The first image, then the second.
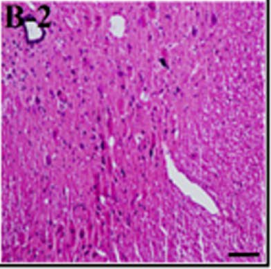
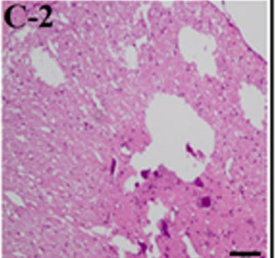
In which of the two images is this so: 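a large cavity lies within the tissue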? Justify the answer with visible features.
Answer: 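Second image: a large irregular empty space surrounded by pale, spongy tissue. First image: dense, evenly pink tissue with only a narrow vessel lumen and no large space. The answer: the second image.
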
